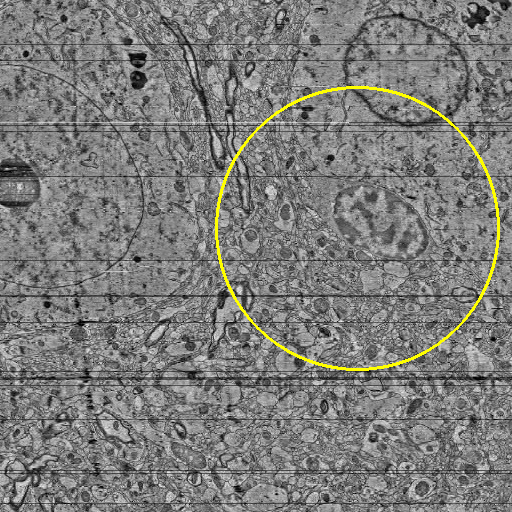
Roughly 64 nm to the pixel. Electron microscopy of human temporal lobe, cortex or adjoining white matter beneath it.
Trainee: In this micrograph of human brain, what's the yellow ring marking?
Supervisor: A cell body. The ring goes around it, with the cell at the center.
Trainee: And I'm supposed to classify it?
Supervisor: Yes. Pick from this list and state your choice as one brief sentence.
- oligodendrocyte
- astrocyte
The cell at the ring's center is an oligodendrocyte.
